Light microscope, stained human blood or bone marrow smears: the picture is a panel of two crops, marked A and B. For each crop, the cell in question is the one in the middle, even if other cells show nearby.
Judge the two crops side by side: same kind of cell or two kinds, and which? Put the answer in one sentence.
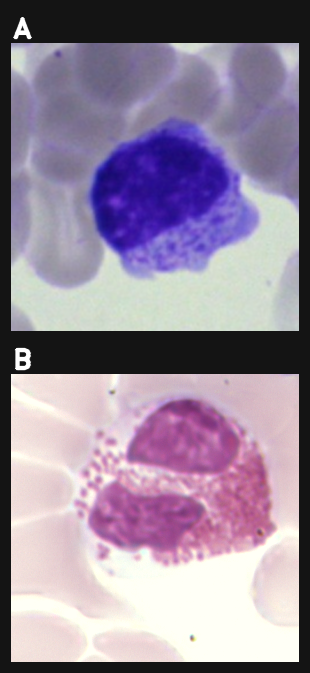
No, a myelocyte is what crop A shows, and an eosinophil is what crop B shows.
